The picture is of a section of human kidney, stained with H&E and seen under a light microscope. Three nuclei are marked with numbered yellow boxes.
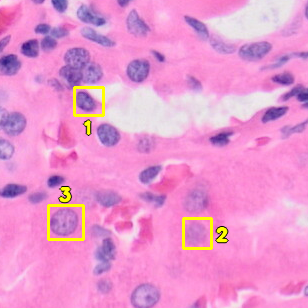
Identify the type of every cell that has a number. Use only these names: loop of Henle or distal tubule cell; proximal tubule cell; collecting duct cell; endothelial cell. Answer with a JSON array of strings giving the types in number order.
["loop of Henle or distal tubule cell", "proximal tubule cell", "proximal tubule cell"]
